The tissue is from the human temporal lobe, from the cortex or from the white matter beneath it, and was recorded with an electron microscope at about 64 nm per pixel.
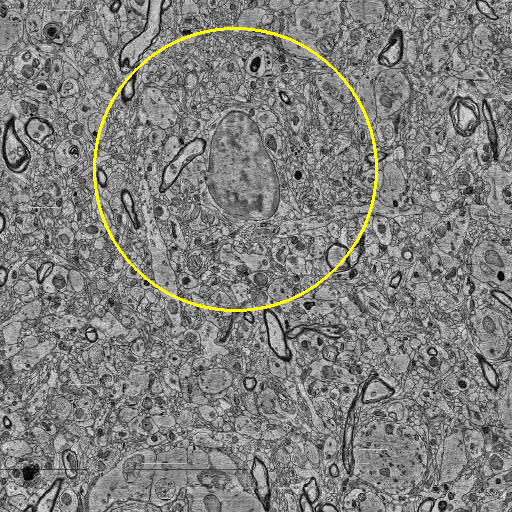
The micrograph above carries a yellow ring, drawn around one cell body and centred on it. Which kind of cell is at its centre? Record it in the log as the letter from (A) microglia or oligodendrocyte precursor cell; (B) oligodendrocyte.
A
